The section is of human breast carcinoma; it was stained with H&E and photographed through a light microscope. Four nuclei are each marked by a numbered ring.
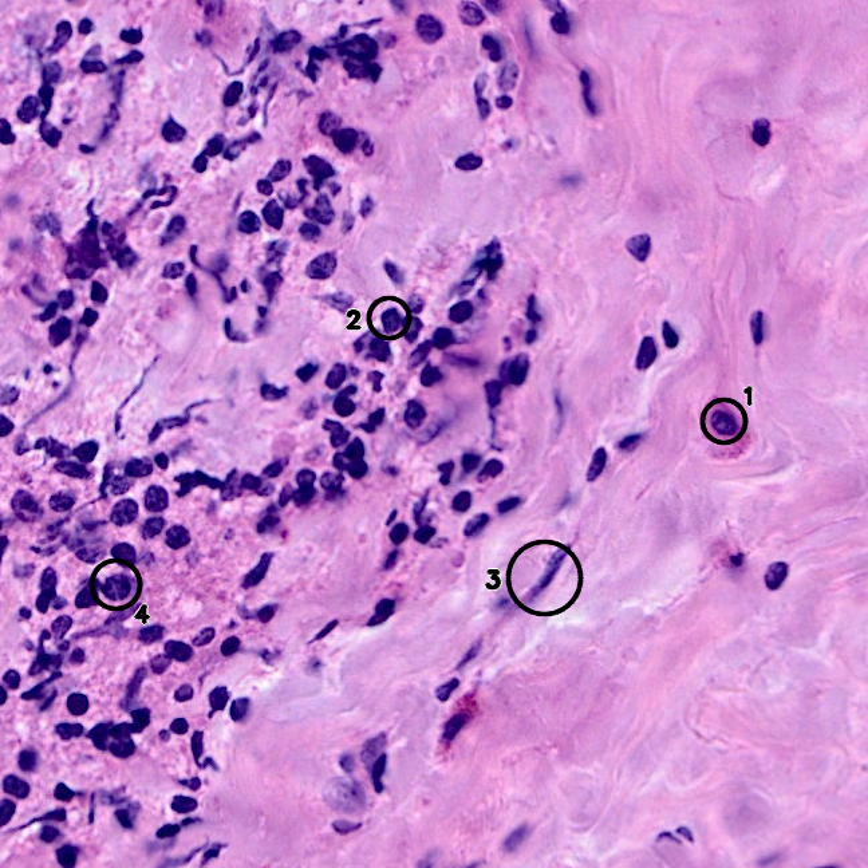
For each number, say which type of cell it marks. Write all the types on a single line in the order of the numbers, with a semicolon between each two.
mast cell; lymphocyte; fibroblast; lymphocyte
